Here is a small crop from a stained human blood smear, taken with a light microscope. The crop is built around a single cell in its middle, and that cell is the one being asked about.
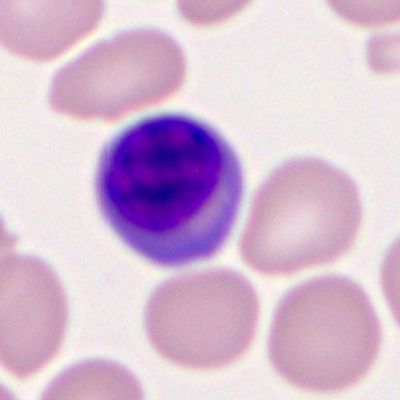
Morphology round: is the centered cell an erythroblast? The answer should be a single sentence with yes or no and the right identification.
Yes, what sits in the middle of the crop is an erythroblast.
